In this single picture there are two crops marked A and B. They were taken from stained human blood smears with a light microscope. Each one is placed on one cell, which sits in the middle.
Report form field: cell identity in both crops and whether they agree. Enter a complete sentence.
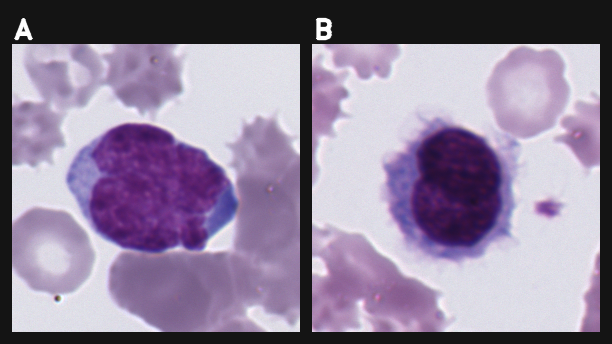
No, the middle of crop A holds a myeloblast, and the middle of crop B holds a hairy cell.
